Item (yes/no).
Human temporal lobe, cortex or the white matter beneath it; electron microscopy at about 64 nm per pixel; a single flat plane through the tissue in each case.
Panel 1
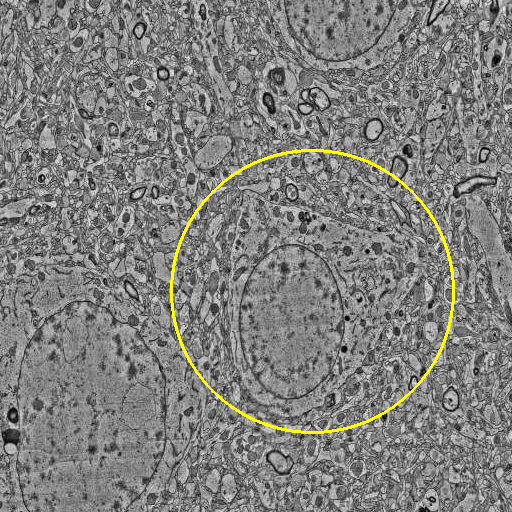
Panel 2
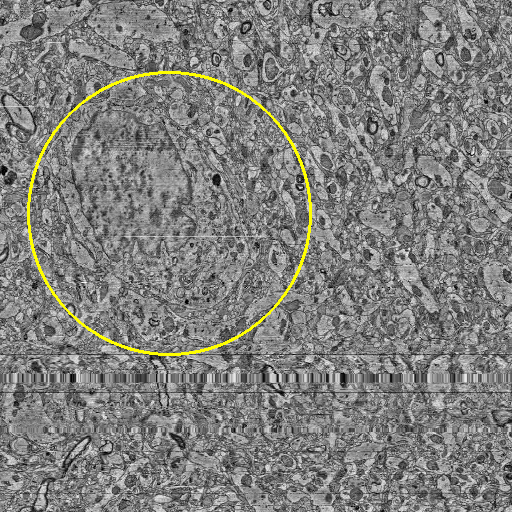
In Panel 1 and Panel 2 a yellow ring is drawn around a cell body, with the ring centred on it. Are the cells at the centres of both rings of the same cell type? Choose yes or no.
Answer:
no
